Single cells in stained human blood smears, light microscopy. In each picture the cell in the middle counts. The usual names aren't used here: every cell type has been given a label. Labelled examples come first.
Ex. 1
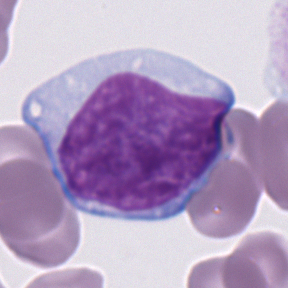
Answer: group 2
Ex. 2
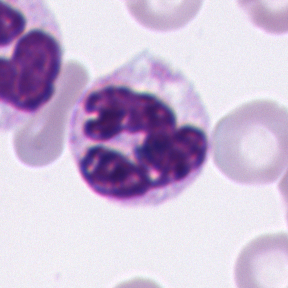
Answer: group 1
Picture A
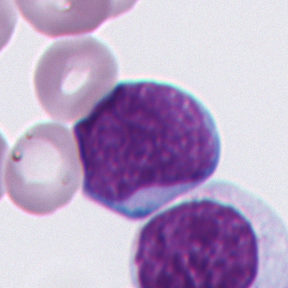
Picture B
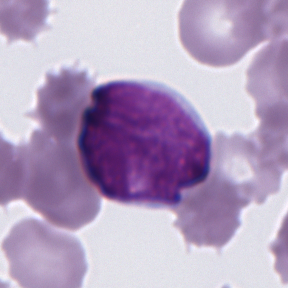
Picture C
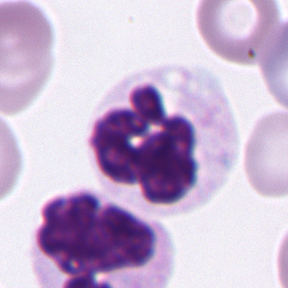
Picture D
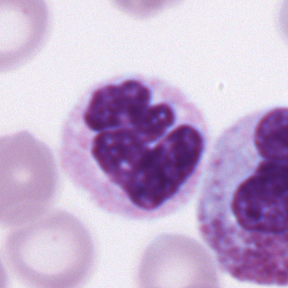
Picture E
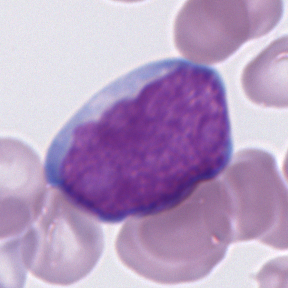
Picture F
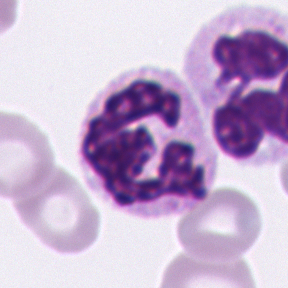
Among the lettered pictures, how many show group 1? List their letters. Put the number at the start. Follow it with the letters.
3, namely C, D, F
